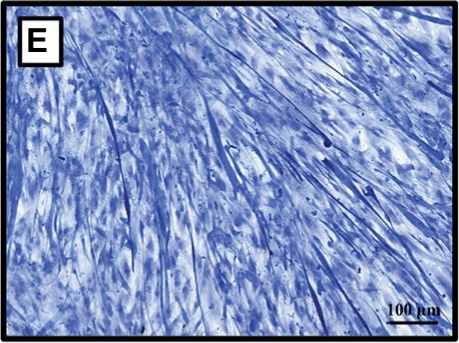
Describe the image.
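This is a dense culture of muscle cells in which many long, slender myotubes stain a deep blue. The myotubes run roughly parallel, fanning out across the field, and are many times longer than the cells around them. The paler background between the cells shows where the layer is thinner.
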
